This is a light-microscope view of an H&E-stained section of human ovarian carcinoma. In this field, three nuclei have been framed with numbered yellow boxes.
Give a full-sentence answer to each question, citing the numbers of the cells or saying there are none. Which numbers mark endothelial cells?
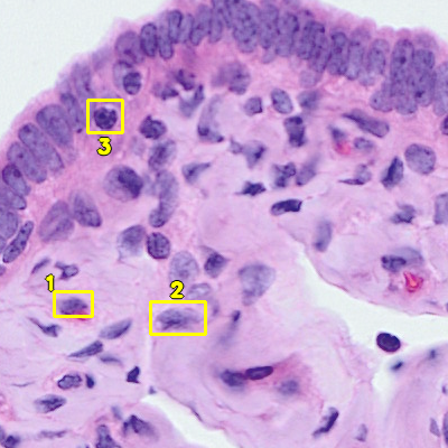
The cells shown with numbers 1 and 2 are endothelial cells.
